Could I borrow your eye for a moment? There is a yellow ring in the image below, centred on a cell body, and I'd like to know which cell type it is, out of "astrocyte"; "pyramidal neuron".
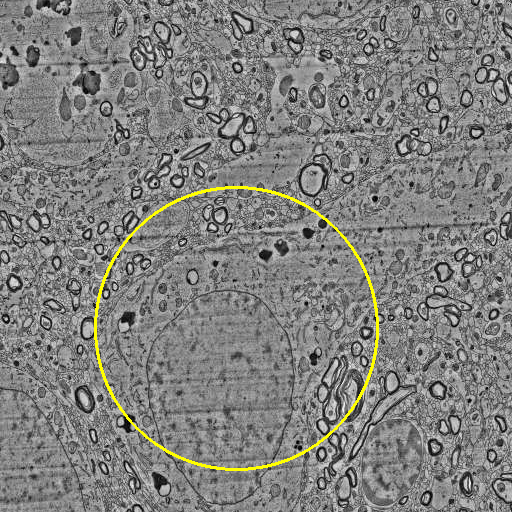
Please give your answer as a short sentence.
The cell body at the centre is that of a pyramidal neuron.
